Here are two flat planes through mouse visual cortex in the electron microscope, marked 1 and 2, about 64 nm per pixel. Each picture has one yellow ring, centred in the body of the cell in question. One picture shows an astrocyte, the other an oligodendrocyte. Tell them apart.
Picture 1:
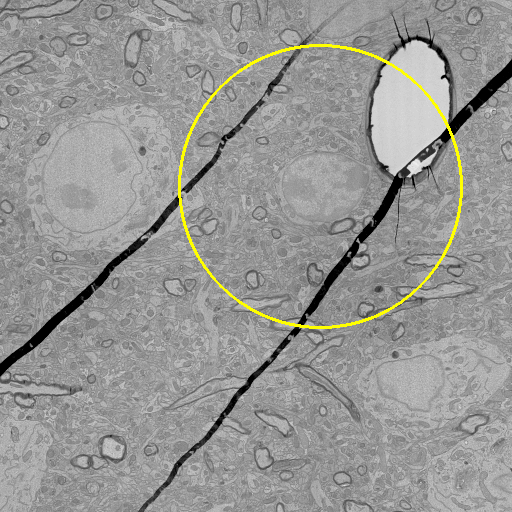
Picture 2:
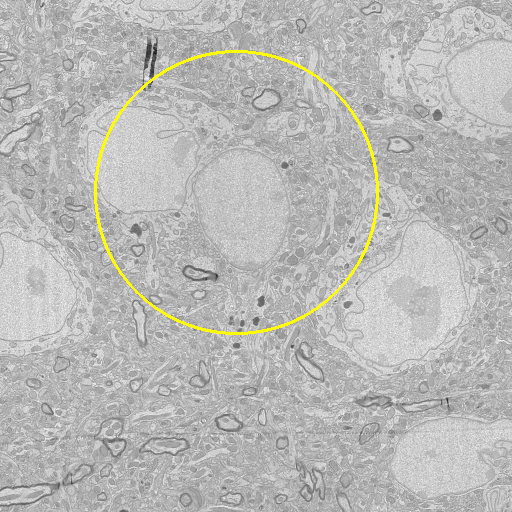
Picture 1 shows an oligodendrocyte and picture 2 shows an astrocyte.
